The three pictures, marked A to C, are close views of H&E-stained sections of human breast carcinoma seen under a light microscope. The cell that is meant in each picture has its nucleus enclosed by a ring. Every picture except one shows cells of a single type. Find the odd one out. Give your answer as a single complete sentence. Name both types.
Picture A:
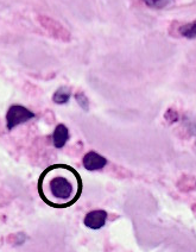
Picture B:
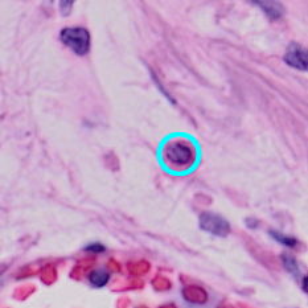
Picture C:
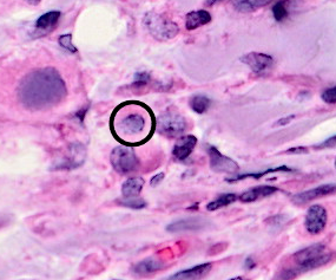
Unlike the rest, which show mast cells, picture A shows a lymphocyte.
